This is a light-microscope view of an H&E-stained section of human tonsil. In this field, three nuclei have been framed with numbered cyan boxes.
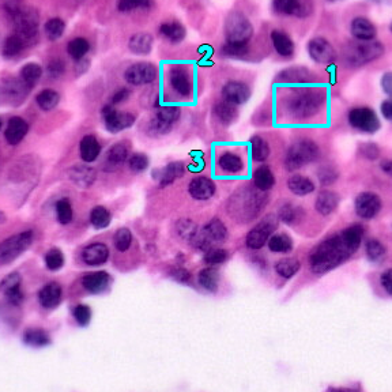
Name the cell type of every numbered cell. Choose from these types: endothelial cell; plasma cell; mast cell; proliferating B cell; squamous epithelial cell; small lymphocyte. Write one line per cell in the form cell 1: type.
cell 1: squamous epithelial cell
cell 2: plasma cell
cell 3: plasma cell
